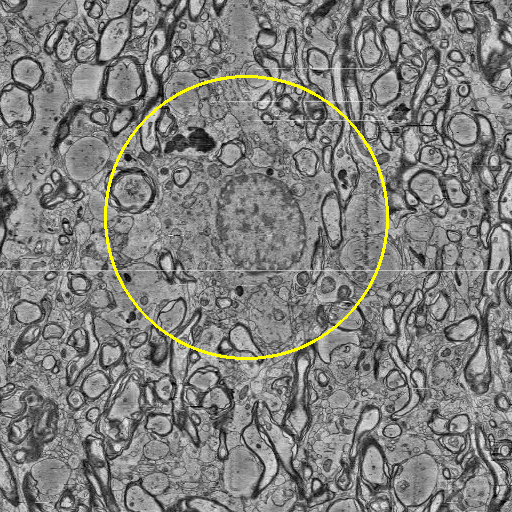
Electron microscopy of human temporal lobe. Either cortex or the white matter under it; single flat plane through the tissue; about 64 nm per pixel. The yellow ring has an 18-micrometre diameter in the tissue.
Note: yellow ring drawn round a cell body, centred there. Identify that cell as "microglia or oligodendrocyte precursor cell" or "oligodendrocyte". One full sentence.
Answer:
The cell in the middle of the ring is an oligodendrocyte.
